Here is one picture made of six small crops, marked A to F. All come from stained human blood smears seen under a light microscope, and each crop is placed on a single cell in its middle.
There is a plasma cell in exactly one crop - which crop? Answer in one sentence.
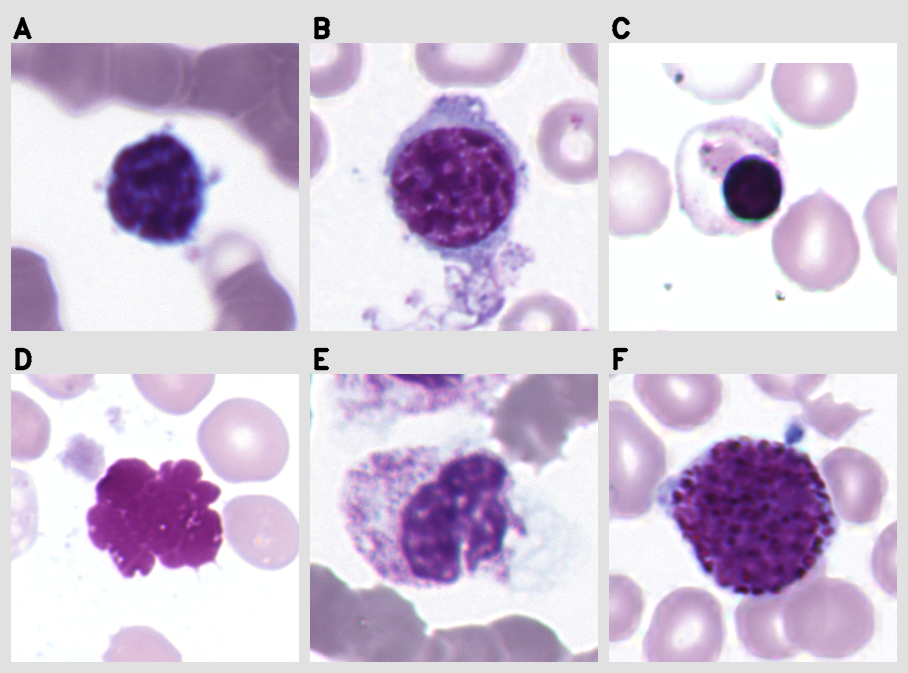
Among the crops given, only crop B shows a plasma cell.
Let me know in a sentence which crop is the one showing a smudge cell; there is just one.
Crop D represents a smudge cell, while the other crops do not.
